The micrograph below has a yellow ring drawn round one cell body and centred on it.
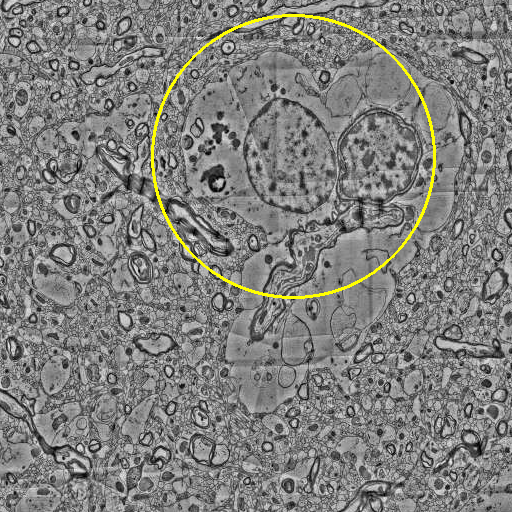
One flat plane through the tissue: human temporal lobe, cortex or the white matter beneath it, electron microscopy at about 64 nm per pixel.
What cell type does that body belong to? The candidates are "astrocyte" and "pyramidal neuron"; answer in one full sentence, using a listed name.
This is an astrocyte, the cell whose body lies at the centre of the ring.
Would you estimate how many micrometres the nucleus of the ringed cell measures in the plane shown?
In this plane, the nucleus of the cell at the centre of the ring measures about 8 by 6 micrometres.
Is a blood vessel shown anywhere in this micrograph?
Yes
